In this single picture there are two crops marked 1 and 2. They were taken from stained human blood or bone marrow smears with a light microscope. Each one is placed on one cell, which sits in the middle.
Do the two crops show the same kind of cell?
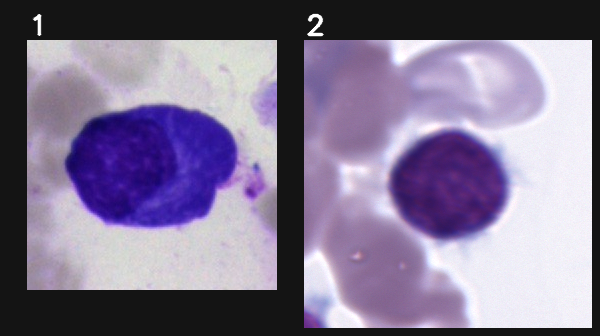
no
